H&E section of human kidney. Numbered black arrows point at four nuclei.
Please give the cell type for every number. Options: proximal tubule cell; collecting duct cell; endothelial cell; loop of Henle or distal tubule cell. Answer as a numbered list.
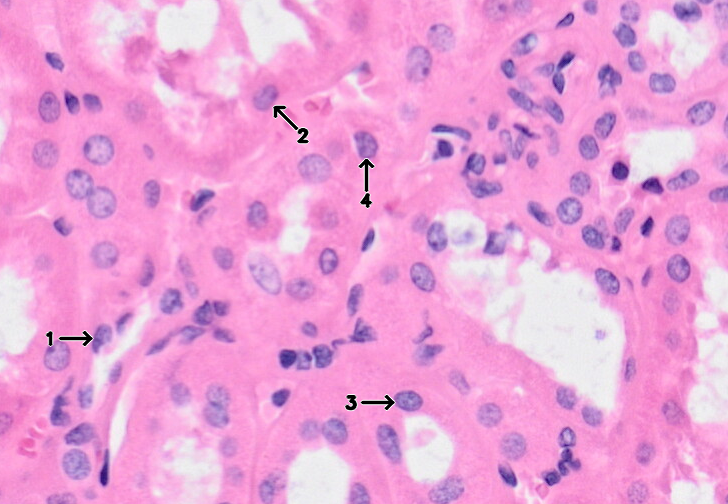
1. collecting duct cell
2. proximal tubule cell
3. loop of Henle or distal tubule cell
4. proximal tubule cell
